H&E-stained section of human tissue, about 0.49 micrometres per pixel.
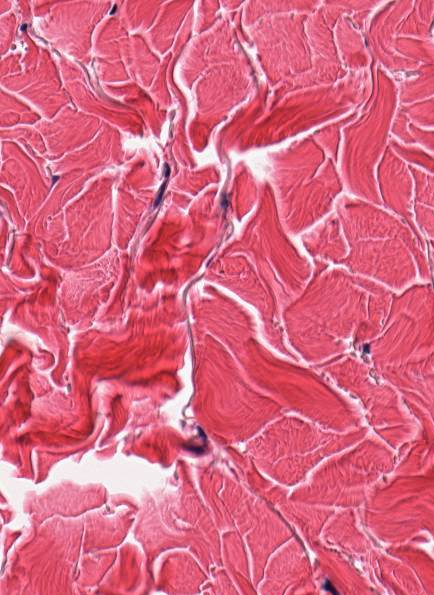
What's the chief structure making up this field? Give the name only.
dermis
